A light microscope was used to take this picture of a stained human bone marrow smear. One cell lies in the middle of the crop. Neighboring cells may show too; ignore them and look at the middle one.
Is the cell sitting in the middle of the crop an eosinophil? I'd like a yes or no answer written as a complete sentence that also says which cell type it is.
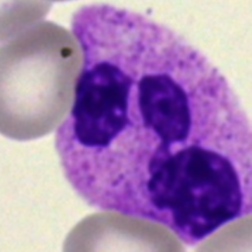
No, it is a segmented neutrophil and not an eosinophil that occupies the middle of the crop.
